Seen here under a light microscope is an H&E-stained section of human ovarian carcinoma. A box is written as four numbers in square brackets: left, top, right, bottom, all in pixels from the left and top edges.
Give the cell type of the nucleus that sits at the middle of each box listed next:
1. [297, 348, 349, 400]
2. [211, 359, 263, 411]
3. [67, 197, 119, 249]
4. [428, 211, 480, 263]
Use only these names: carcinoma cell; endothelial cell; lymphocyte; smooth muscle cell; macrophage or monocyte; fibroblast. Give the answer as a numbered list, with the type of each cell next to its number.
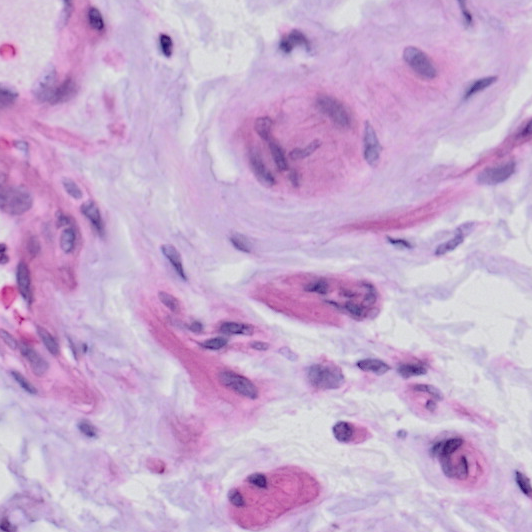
1. fibroblast
2. smooth muscle cell
3. endothelial cell
4. fibroblast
